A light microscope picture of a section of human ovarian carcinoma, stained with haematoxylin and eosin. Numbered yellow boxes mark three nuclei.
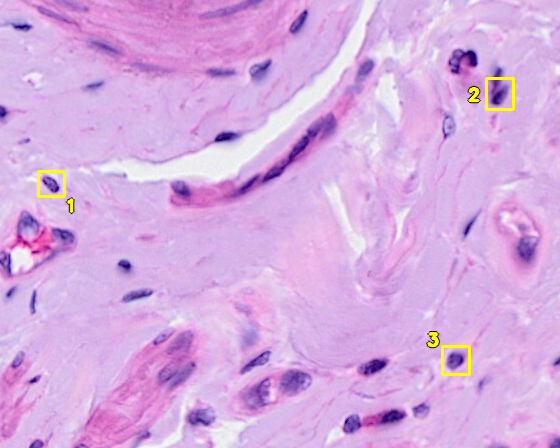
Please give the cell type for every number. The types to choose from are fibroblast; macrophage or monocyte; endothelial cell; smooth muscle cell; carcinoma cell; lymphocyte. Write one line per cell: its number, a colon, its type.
1: lymphocyte
2: fibroblast
3: lymphocyte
